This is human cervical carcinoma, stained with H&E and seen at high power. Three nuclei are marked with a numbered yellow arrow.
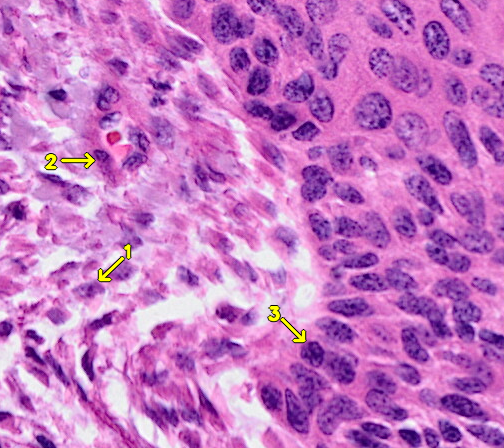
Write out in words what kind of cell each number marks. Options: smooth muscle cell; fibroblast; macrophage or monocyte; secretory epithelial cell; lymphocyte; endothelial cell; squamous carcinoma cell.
Cell 1 is a fibroblast. Cell 2 is an endothelial cell. Cell 3 is a squamous carcinoma cell.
